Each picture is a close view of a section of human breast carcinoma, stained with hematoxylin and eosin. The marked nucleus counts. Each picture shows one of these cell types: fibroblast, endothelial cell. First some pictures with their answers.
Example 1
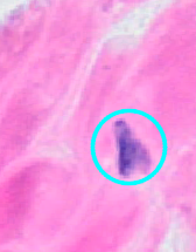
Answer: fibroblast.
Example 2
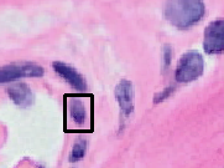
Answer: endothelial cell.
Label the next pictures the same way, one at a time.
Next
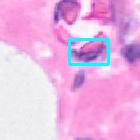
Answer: endothelial cell.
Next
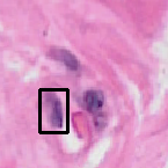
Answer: endothelial cell.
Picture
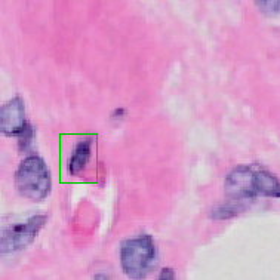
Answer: endothelial cell.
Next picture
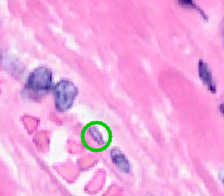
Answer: endothelial cell.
